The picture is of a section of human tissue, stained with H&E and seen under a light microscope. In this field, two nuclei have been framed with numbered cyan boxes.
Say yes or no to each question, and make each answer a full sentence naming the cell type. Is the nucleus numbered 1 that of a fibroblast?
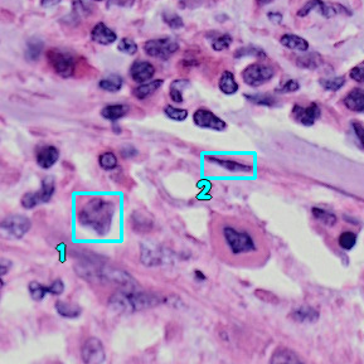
No, a macrophage or monocyte is what cell 1 is, not a fibroblast.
